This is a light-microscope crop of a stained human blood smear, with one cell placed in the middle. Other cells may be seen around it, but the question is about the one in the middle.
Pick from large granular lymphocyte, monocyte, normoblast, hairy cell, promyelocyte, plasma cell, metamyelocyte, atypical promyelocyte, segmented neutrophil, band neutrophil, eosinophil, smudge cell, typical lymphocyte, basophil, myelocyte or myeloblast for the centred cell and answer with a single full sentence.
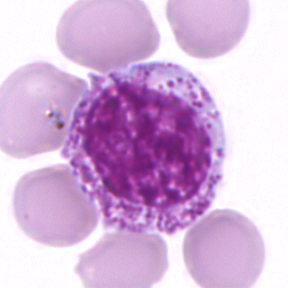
The centrally placed cell is classified as a myelocyte.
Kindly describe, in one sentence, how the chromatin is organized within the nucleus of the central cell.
In this nucleus, the chromatin is arranged in coarse clumps.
